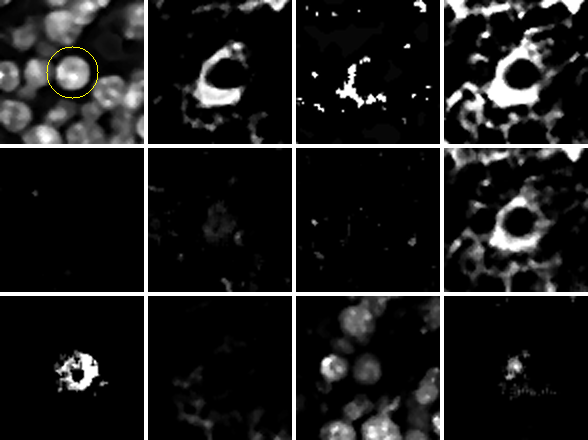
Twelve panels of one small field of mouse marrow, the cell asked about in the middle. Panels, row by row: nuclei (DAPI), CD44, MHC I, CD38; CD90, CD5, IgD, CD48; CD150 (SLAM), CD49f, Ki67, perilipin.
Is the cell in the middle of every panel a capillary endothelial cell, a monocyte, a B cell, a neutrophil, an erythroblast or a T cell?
It is a monocyte.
